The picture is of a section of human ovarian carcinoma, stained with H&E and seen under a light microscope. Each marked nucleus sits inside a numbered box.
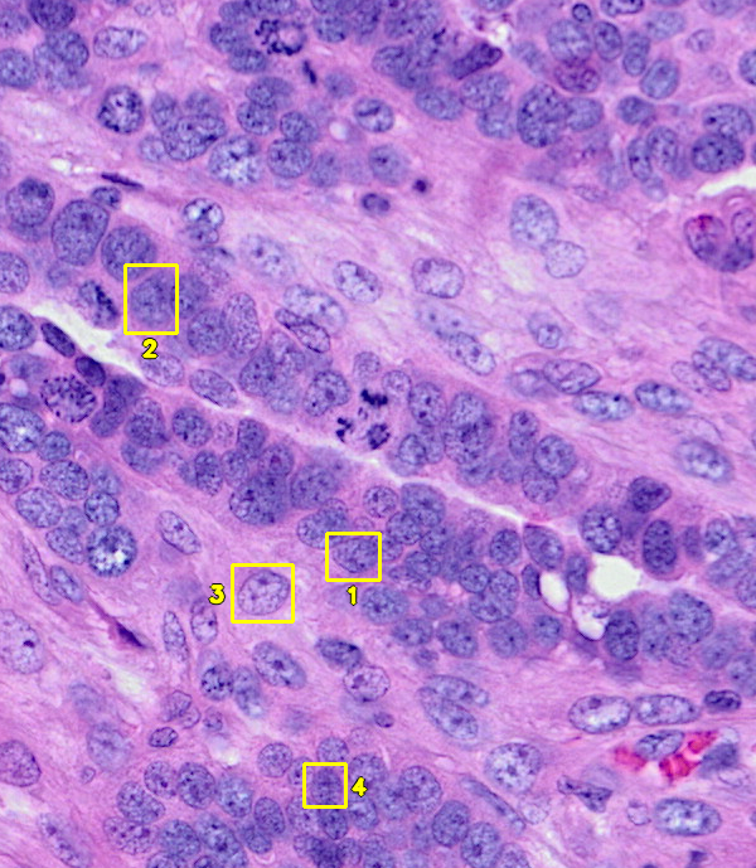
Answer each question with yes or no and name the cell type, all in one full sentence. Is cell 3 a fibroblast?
Yes, it is a fibroblast that carries the number 3.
